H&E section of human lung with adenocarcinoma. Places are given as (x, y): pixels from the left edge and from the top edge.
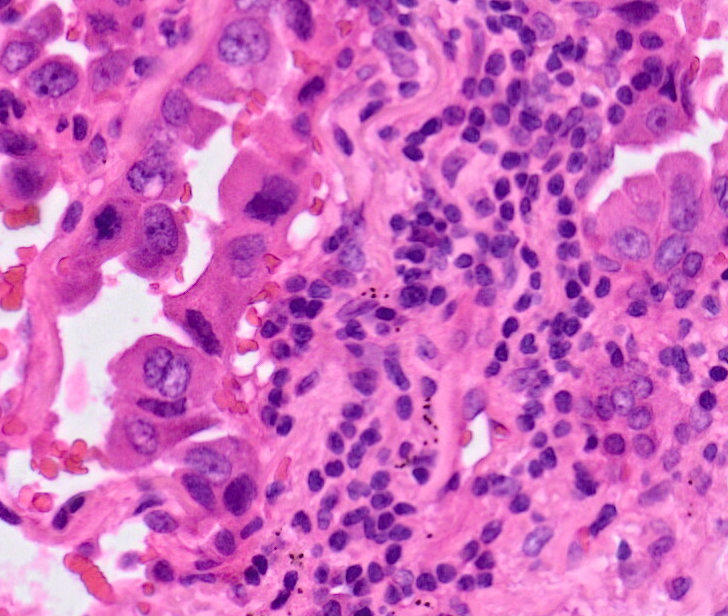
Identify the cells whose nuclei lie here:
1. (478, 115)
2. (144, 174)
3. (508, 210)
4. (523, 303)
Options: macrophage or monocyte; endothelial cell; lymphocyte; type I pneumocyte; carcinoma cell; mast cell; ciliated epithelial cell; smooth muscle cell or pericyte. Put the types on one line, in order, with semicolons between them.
lymphocyte; carcinoma cell; lymphocyte; lymphocyte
